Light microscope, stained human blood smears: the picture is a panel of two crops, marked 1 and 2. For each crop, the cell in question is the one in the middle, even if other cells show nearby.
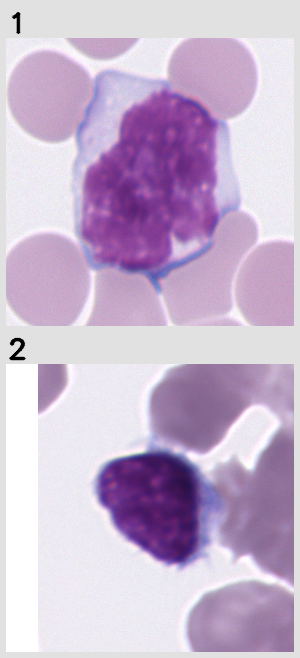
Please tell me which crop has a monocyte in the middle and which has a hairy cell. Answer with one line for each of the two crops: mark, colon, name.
1: monocyte
2: hairy cell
